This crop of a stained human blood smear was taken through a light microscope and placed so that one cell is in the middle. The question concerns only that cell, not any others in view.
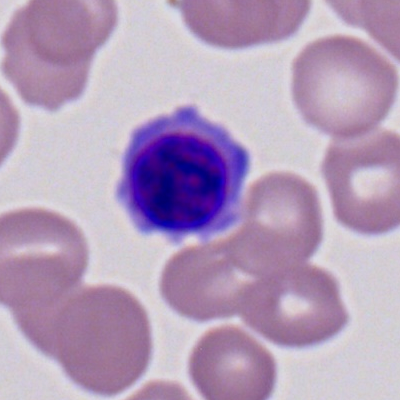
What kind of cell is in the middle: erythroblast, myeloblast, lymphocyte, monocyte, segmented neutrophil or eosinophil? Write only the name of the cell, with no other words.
erythroblast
